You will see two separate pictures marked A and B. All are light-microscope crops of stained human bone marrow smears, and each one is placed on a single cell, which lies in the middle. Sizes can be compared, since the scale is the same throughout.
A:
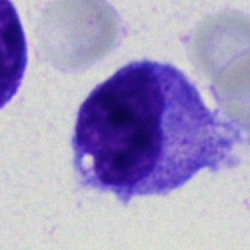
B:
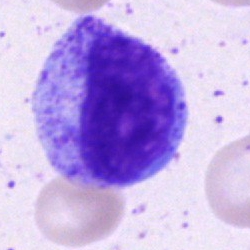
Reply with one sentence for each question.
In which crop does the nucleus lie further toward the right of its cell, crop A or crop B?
The nucleus in crop B lies further toward the right of its cell.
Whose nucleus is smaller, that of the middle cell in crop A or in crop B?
Smaller is the nucleus in crop A, and the other is about 1.5 times as large in area.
